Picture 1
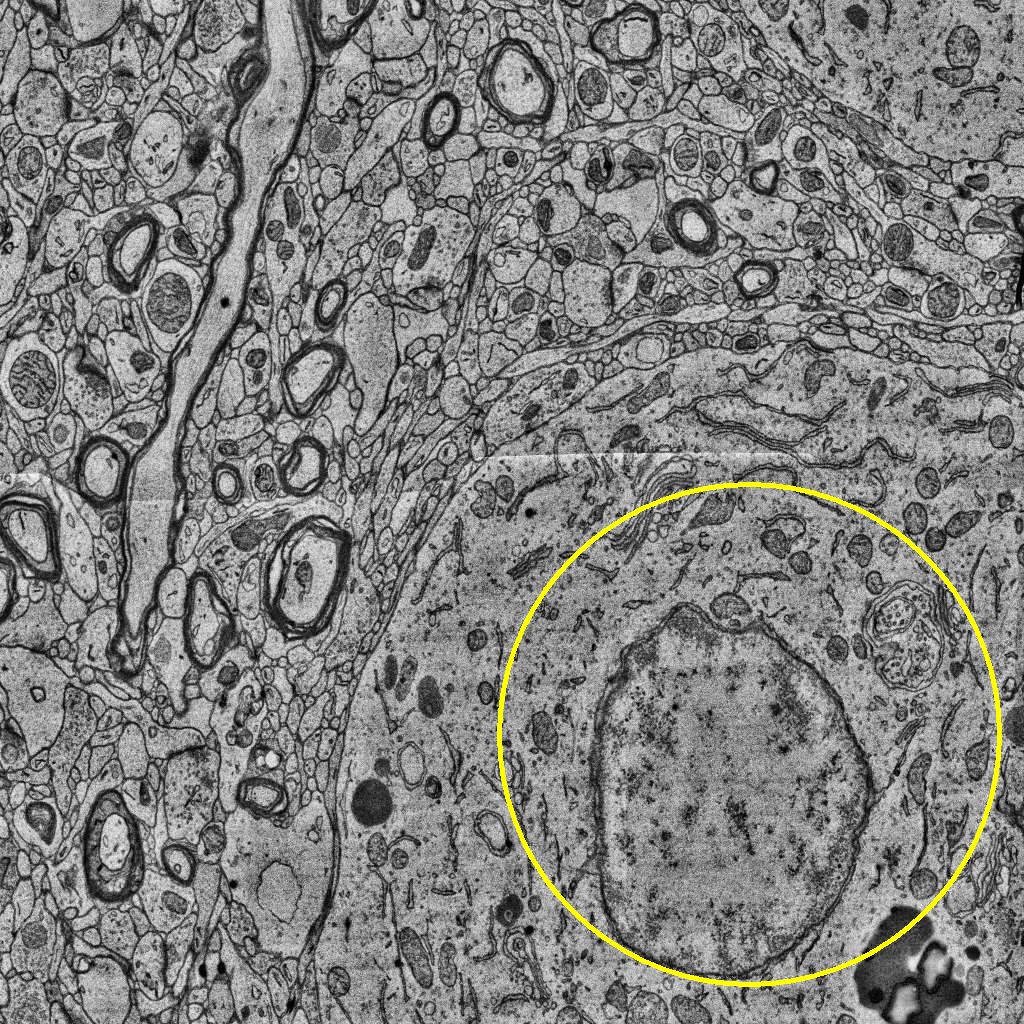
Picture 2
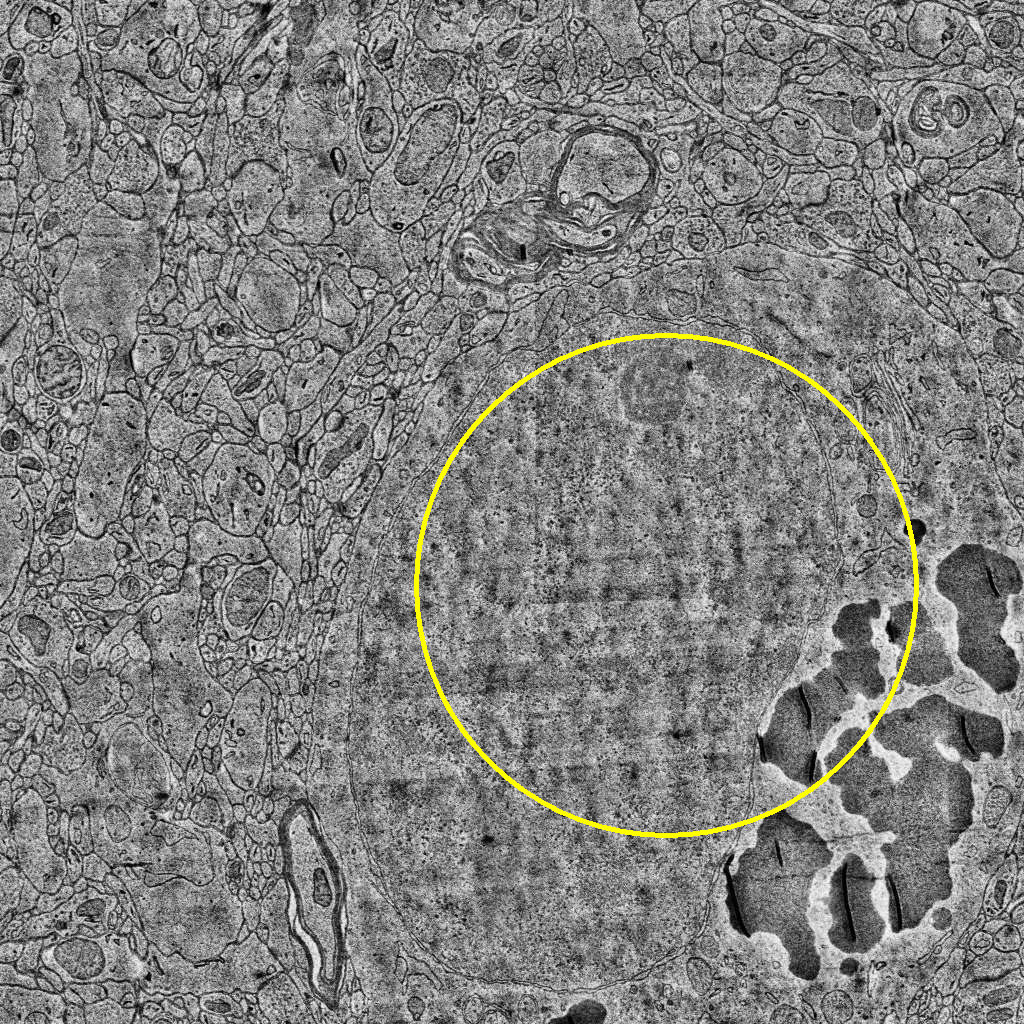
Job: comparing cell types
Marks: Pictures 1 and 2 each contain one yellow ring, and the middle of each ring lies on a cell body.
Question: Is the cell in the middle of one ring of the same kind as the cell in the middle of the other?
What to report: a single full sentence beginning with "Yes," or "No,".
No, the cell at the ring centre in Picture 1 and its partner in Picture 2 are of two kinds.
